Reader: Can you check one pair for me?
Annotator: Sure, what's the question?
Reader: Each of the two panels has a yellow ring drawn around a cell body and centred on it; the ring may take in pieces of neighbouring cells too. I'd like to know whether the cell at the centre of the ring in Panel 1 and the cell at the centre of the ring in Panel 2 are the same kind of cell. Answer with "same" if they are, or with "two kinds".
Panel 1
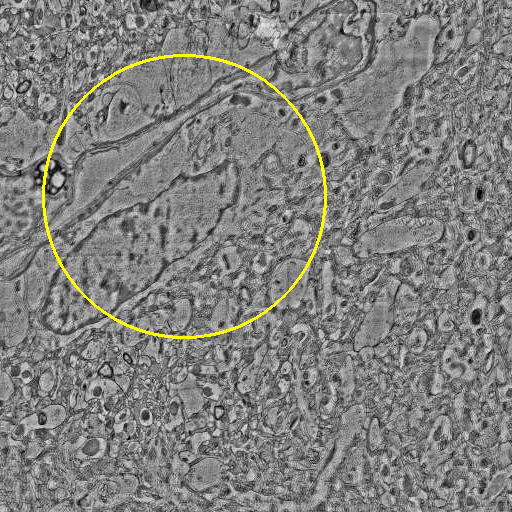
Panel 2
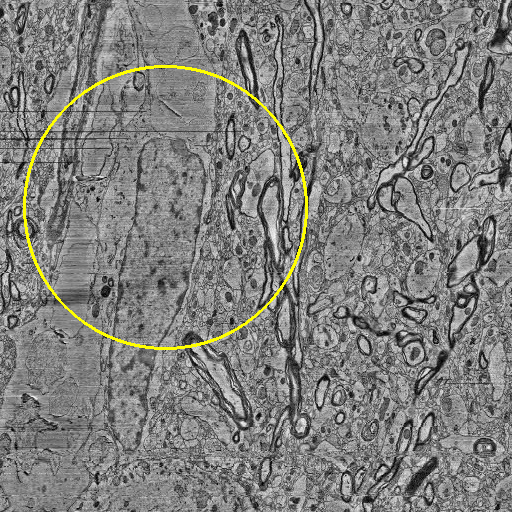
same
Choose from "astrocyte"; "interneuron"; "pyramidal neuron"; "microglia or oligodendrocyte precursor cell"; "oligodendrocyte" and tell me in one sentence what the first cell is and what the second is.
Each one of the two ringed cells is a microglial cell or oligodendrocyte precursor cell.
